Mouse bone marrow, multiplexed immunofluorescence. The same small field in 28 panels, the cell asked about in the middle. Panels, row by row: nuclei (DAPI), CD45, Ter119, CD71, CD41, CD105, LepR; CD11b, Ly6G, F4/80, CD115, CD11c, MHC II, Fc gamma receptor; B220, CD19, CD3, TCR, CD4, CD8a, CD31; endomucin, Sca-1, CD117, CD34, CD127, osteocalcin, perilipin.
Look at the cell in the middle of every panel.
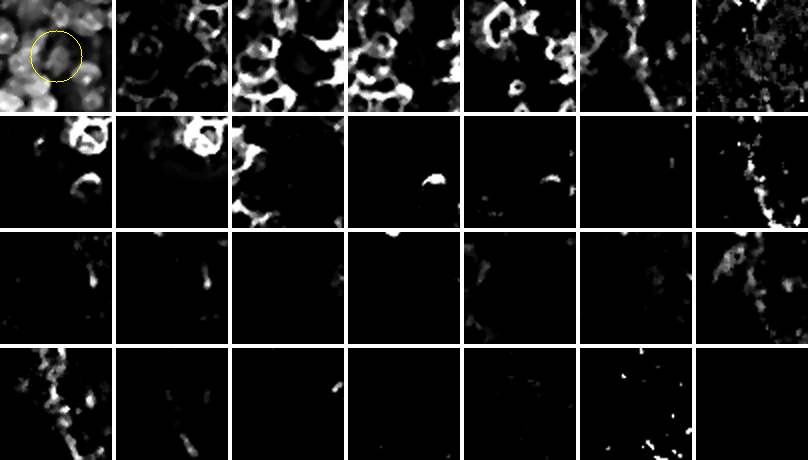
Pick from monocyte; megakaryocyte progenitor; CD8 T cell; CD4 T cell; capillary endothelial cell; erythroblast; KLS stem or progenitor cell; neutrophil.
capillary endothelial cell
